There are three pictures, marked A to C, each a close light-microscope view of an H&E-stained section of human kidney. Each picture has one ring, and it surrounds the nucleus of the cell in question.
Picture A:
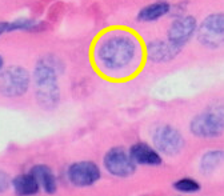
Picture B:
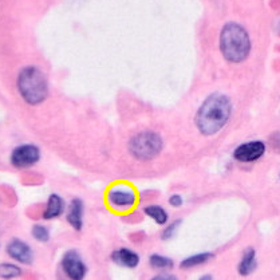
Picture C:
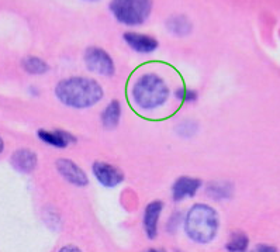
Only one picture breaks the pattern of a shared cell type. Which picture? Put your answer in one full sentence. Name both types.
All pictures except B show collecting duct cells; picture B shows an endothelial cell.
